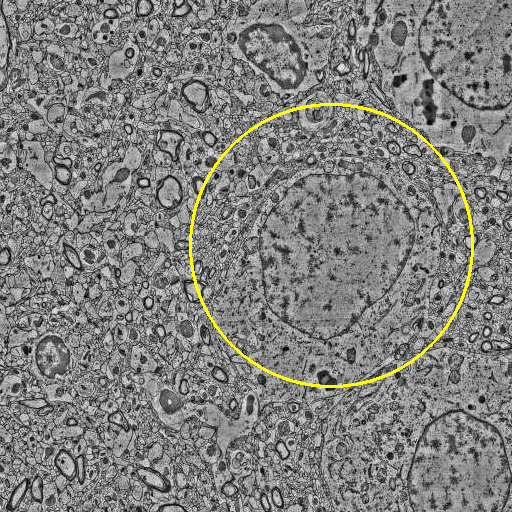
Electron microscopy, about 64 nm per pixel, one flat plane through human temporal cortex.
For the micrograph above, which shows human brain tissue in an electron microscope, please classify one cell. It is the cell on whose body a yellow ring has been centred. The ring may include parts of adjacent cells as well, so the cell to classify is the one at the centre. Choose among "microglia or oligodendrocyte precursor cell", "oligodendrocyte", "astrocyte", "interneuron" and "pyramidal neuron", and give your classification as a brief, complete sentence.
I classify this cell as a pyramidal neuron.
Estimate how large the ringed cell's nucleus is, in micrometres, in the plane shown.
In this plane, approximately 12 by 9 micrometers.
